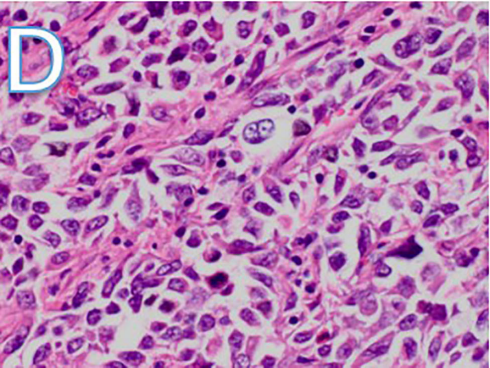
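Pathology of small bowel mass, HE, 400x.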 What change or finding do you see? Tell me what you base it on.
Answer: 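Nuclei range from small and dark to large and pale. Some cells have very large, irregular, hyperchromatic nuclei.
Answer: different nuclear sizes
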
